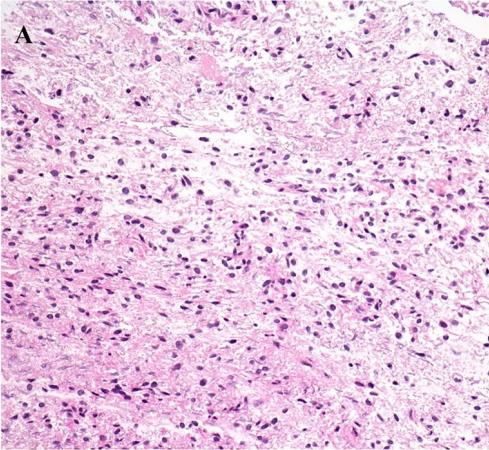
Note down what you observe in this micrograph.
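This is a moderately cellular glial tumor with mild atypia and no obvious growth pattern. Oval to elongated, dark purple nuclei are scattered fairly evenly through a loose, pale pink fibrillary background. Many cells are spindle-shaped and loosely aligned in streams running obliquely across the field, while others are more rounded. Cytoplasm is scant and merges with the fibrillary matrix. Nuclei vary only mildly in size and staining, and there are no obvious clusters, rosettes or arrangements around vessels. Looser, paler, almost cobweb-like areas alternate with slightly denser bands of cells.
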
